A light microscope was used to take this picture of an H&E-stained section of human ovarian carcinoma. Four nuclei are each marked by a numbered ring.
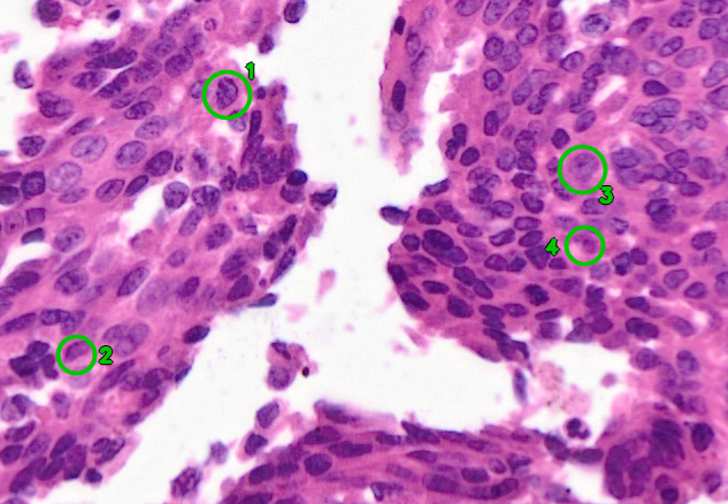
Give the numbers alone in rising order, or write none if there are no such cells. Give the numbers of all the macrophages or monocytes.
1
